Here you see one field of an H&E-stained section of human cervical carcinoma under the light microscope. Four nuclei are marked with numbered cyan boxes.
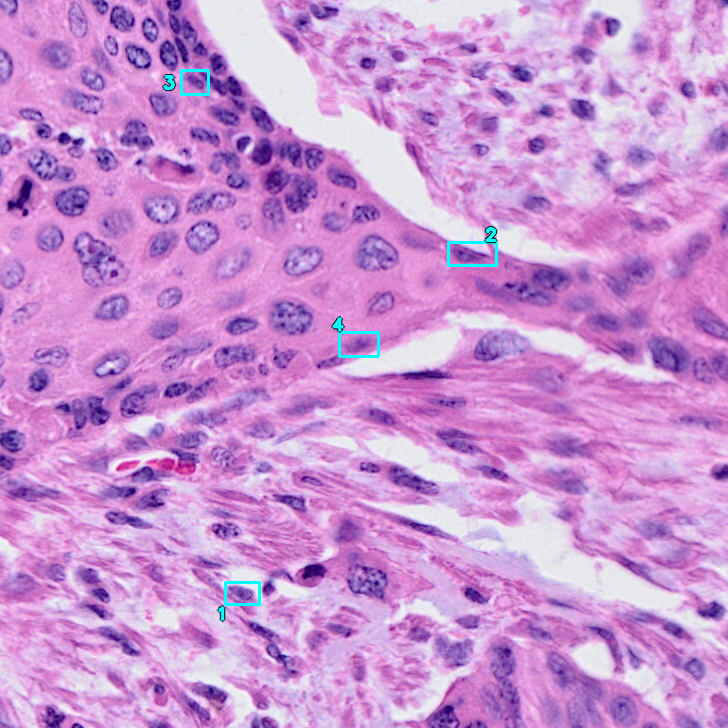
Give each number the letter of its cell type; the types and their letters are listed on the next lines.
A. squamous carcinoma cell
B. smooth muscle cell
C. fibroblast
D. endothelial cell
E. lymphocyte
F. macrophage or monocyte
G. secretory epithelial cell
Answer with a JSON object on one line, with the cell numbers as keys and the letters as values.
{"1": "C", "2": "A", "3": "A", "4": "A"}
